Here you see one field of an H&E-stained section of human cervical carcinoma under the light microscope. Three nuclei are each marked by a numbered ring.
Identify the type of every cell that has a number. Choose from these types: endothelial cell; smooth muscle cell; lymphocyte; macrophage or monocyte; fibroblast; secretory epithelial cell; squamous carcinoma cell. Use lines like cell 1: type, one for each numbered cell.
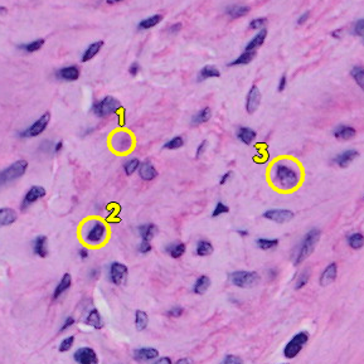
cell 1: smooth muscle cell
cell 2: fibroblast
cell 3: smooth muscle cell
